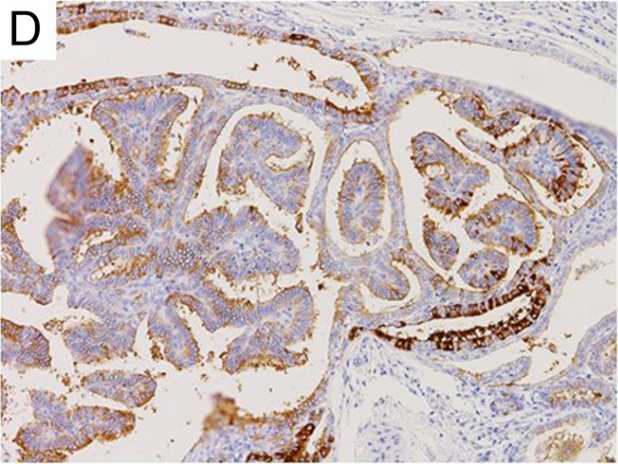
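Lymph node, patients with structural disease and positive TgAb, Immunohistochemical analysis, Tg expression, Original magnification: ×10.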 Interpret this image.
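A metastasis of papillary thyroid carcinoma, made of papillae with thin fibrous cores covered by columnar tumour epithelium and projecting into wide open spaces. The epithelial cells have elongated blue nuclei set in a crowded row. Brown stain is strong along the free luminal surfaces of the epithelium and in some places fills the cytoplasm of groups of cells. Other papillae stay mostly blue with only faint brown. Loose pale stroma with scattered nuclei borders the tumour at the top and at the lower right.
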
